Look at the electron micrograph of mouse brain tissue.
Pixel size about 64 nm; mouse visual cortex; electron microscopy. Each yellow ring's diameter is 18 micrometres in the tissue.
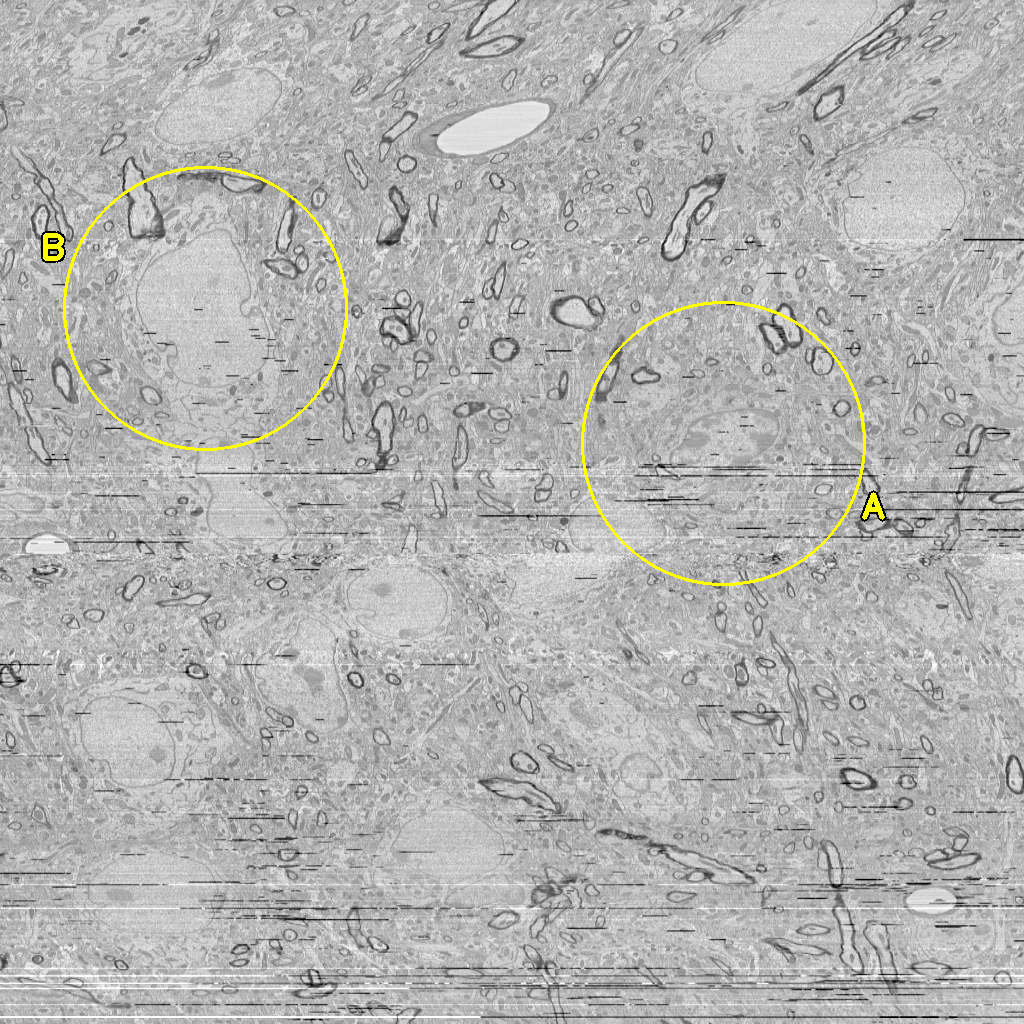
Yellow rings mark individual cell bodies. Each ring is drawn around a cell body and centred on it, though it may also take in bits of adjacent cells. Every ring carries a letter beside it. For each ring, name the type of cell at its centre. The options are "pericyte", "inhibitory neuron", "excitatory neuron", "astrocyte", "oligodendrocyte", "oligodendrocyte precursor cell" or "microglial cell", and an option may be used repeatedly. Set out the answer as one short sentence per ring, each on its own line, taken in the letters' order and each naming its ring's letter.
Ring A is drawn around an oligodendrocyte.
Ring B is drawn around an excitatory neuron.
